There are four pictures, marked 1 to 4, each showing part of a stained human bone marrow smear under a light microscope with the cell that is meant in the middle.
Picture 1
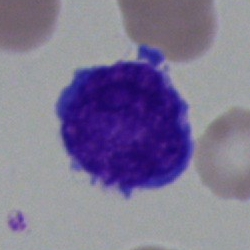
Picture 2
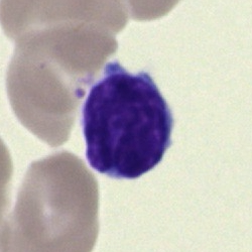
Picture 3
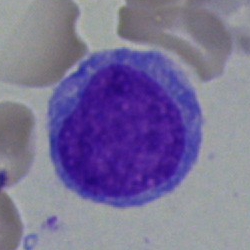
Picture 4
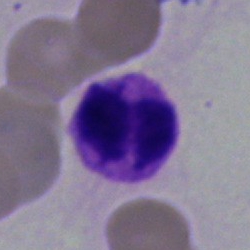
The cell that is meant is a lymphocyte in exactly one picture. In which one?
2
